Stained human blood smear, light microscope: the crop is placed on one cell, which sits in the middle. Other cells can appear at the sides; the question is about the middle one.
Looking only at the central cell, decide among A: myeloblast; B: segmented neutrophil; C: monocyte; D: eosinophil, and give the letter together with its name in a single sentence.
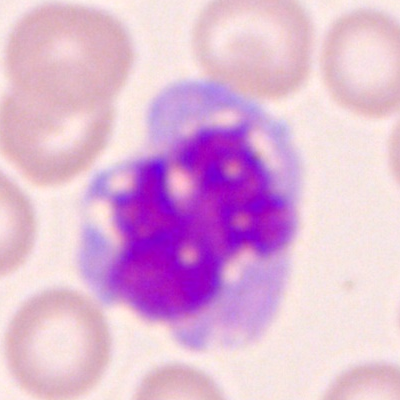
The middle of the crop contains a monocyte, so option C is right.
